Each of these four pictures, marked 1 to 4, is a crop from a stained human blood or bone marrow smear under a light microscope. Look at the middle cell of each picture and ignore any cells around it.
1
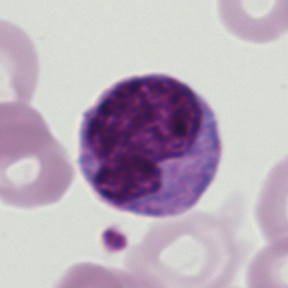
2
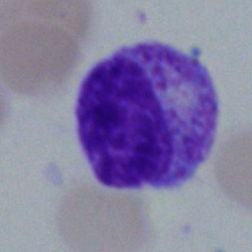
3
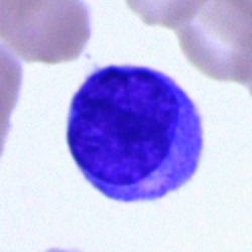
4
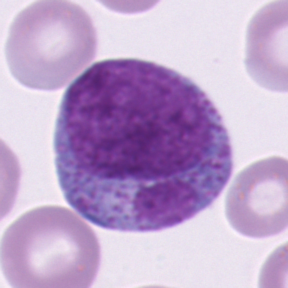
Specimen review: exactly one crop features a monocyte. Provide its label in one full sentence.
Crop 1 is the single crop that shows a monocyte.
